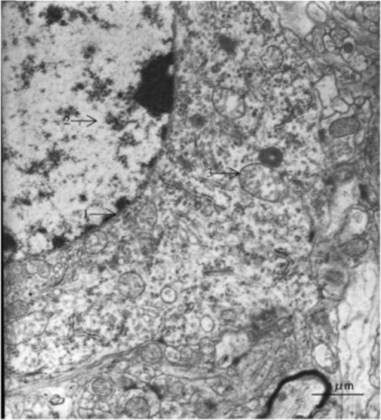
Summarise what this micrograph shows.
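This is part of a nerve cell body seen at high magnification. On the left lies the large nucleus, pale and finely granular, with dark irregular clumps of chromatin scattered through it and a big dense mass near the top. A thin dark curved line, the nuclear membrane, separates it from the cytoplasm on the right. At the lower right edge a thick dark ring-shaped profile lies in the surrounding tissue.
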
